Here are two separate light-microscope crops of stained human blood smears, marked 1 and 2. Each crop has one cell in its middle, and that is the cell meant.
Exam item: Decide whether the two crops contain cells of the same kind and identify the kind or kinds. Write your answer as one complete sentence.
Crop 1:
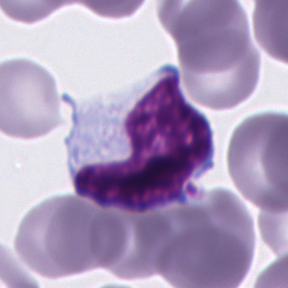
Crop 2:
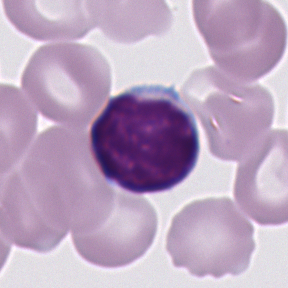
Yes, for both crops, the central cells are typical lymphocytes.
